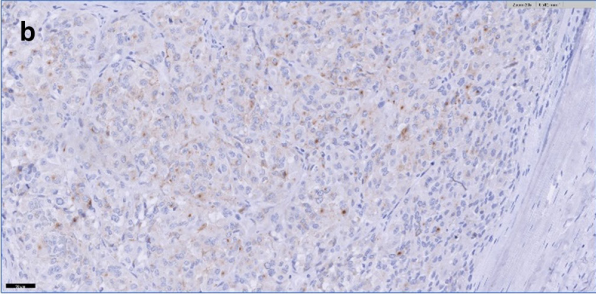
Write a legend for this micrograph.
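At lower power this shows a dense sheet of tumour cells with crowded, irregular nuclei, bordered at the right by a pale band of fibrous tissue with sparse elongated nuclei. Many of the tumour cells carry fine brown granules or dots in their cytoplasm, scattered patchily across the sheet. The fibrous band at the edge stays unstained.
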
